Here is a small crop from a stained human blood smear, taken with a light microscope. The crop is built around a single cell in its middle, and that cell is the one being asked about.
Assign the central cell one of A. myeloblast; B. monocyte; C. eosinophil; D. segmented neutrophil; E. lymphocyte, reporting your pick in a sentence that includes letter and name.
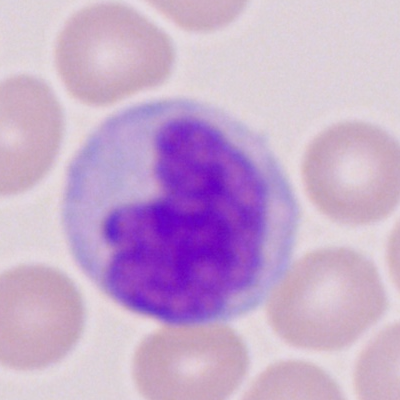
At the centre of the crop lies a monocyte, which makes option B correct.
